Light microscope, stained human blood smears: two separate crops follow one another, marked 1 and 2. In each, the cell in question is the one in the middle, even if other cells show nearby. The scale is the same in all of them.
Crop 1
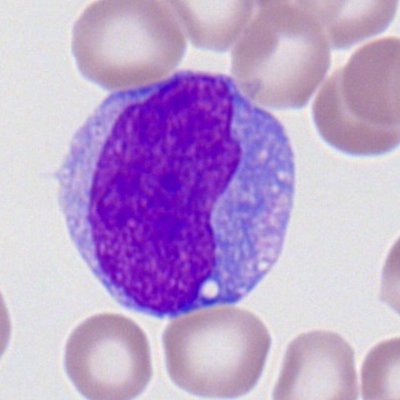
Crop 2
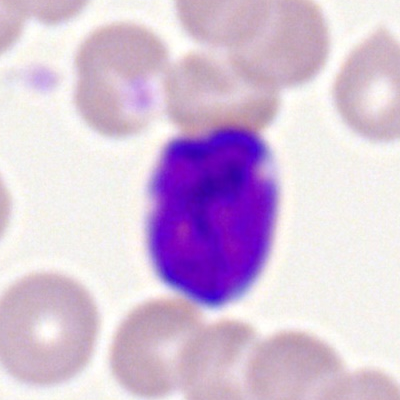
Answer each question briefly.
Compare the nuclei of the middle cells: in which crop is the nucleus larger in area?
1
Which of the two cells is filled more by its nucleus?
2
